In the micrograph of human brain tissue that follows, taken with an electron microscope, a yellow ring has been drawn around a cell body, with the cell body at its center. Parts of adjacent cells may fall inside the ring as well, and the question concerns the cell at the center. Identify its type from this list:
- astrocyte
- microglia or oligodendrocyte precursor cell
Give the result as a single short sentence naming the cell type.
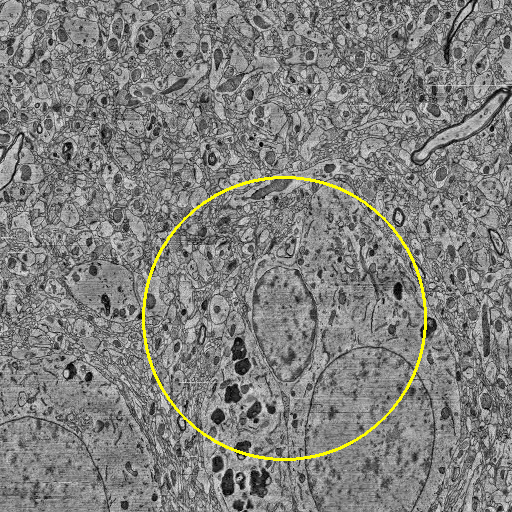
The ring is centered on a microglial cell or oligodendrocyte precursor cell.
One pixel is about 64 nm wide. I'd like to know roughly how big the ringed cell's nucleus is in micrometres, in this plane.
Roughly 8 micrometres by 4 micrometres, so the nucleus is clearly longer than it is wide in this plane.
